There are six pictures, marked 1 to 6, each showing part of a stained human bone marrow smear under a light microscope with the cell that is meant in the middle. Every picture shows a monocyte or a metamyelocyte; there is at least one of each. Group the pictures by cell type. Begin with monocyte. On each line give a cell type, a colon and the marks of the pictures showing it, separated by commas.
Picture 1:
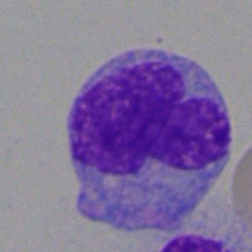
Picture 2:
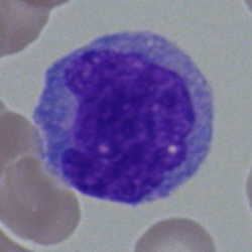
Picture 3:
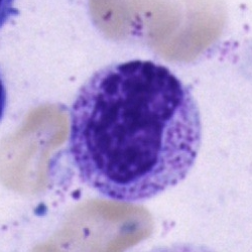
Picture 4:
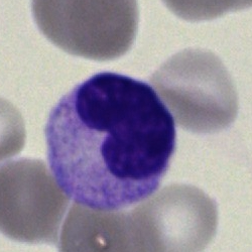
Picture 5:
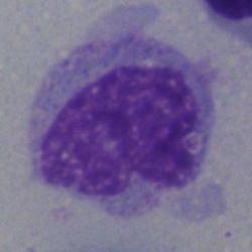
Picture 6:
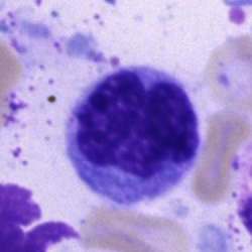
monocyte: 1, 2, 5, 6
metamyelocyte: 3, 4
